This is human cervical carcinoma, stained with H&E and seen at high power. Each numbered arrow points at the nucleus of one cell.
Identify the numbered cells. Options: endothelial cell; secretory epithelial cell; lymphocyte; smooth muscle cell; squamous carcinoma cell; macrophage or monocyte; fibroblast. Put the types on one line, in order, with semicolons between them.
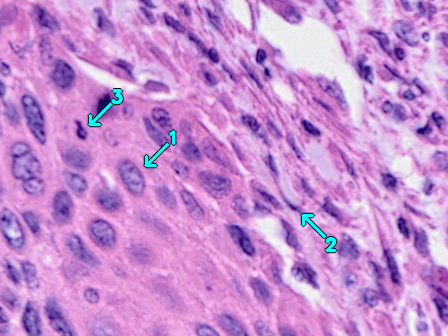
squamous carcinoma cell; fibroblast; squamous carcinoma cell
